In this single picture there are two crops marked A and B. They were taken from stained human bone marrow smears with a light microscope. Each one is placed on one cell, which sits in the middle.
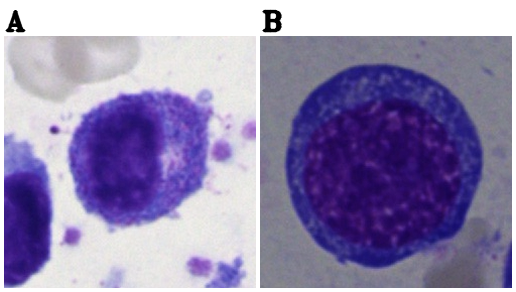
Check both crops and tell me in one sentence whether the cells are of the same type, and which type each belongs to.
No, crop A has a promyelocyte in the middle, and crop B has a proerythroblast.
